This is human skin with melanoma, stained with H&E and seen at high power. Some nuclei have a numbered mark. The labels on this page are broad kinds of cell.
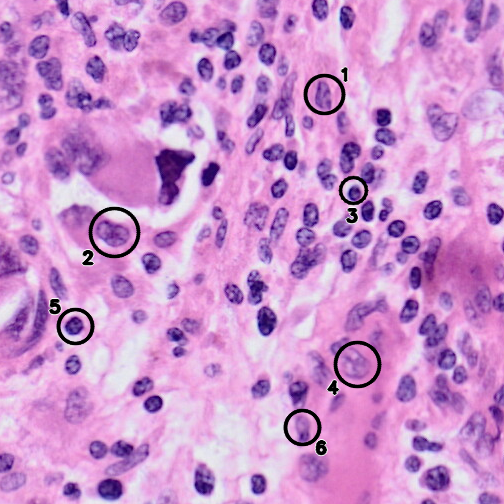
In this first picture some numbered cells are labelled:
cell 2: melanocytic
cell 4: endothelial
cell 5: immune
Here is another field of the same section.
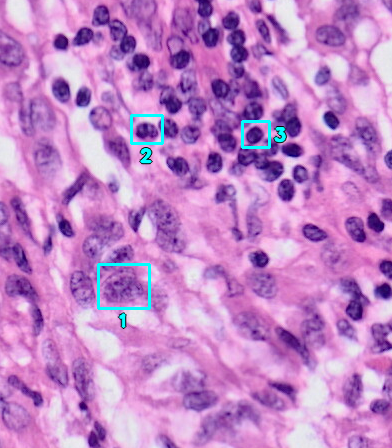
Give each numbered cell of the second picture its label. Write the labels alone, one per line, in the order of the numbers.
melanocytic
immune
immune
